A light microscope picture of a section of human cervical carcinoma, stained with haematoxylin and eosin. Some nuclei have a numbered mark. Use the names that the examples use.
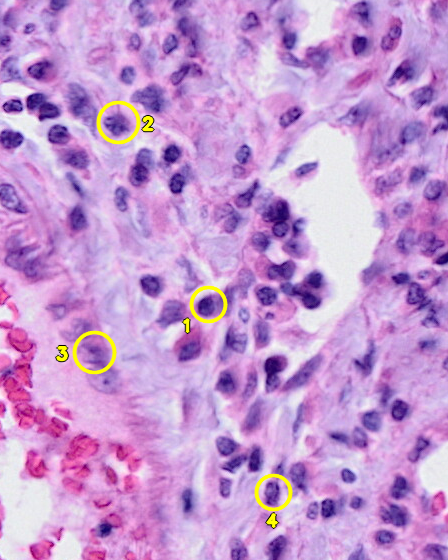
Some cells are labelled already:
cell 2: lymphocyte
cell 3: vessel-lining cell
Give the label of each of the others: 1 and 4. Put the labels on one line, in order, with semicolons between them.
lymphocyte; lymphocyte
